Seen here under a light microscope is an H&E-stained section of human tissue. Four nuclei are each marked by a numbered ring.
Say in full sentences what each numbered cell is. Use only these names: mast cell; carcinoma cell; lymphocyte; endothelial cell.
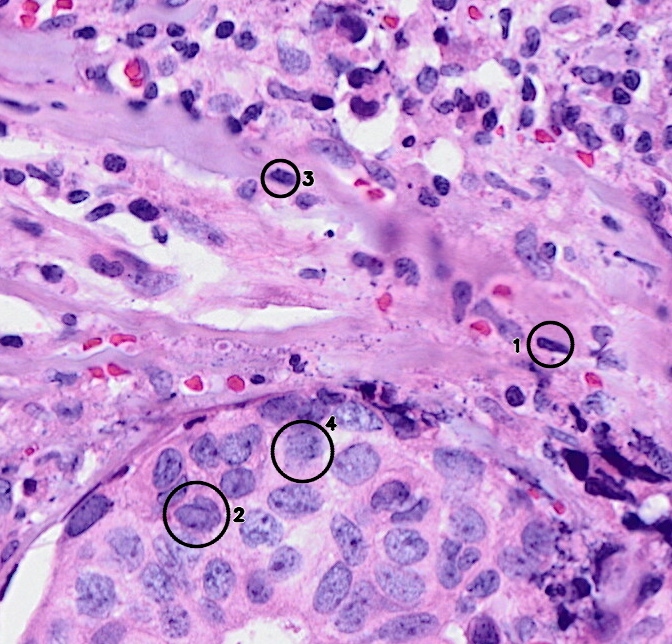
Cells 1 and 3 are lymphocytes. Cells 2 and 4 are carcinoma cells.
